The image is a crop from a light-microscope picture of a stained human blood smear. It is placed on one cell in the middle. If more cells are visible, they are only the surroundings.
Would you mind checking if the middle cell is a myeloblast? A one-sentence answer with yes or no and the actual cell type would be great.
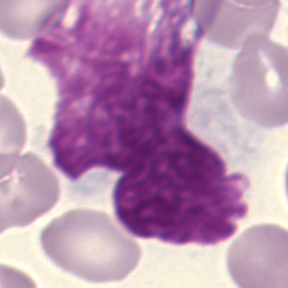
No, the cell found centrally in the crop is a smudge cell, not a myeloblast.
